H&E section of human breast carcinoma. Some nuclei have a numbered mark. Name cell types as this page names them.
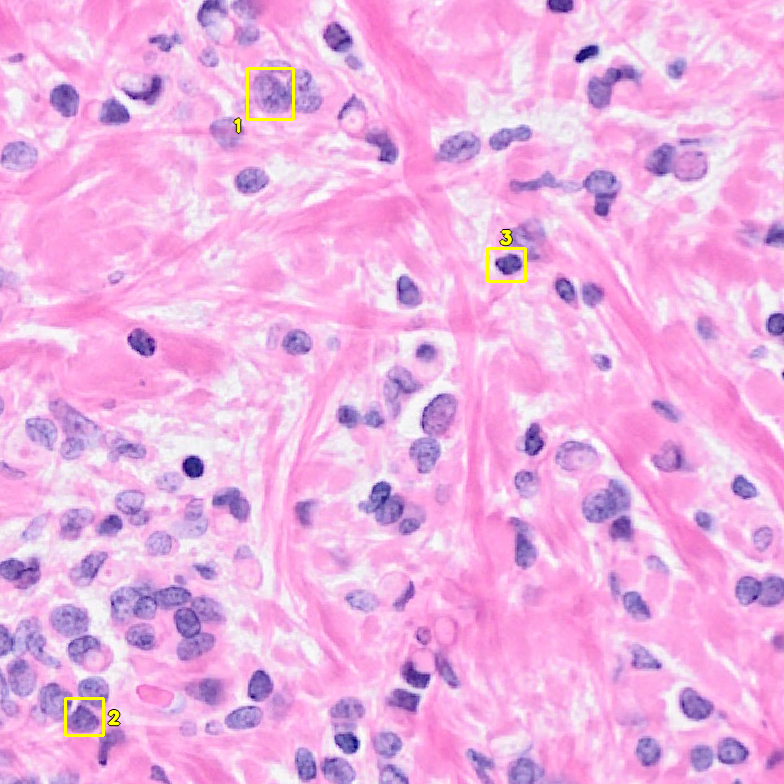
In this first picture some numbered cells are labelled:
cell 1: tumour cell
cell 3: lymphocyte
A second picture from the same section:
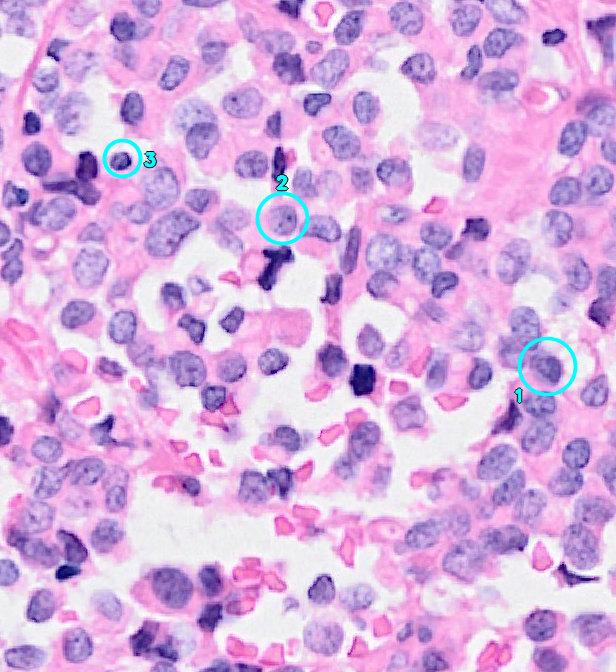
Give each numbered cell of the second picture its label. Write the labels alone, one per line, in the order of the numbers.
tumour cell
tumour cell
lymphocyte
